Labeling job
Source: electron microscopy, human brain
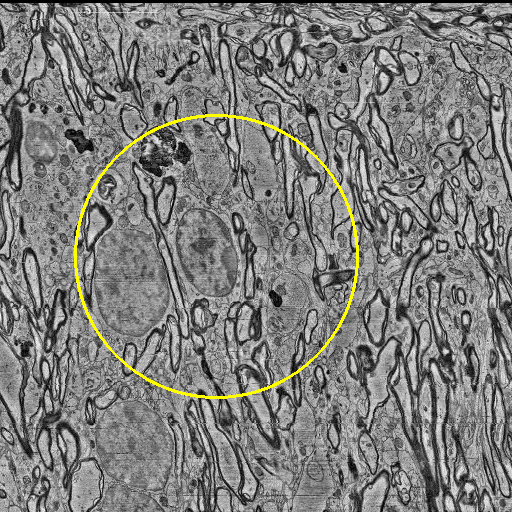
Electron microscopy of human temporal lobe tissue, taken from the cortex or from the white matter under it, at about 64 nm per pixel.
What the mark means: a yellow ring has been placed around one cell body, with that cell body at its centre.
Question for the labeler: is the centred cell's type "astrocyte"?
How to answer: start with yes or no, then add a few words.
No, its type is another one.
